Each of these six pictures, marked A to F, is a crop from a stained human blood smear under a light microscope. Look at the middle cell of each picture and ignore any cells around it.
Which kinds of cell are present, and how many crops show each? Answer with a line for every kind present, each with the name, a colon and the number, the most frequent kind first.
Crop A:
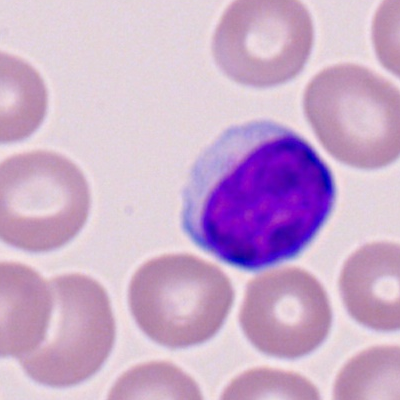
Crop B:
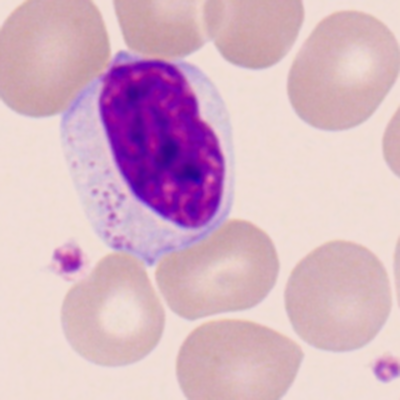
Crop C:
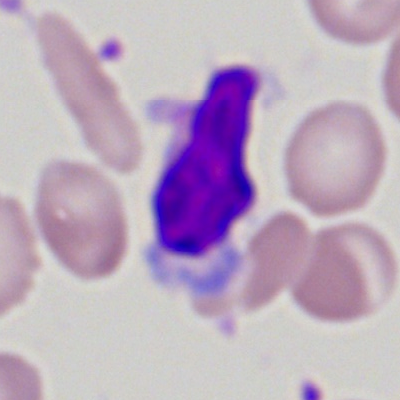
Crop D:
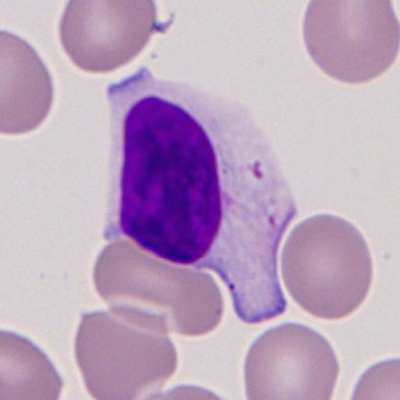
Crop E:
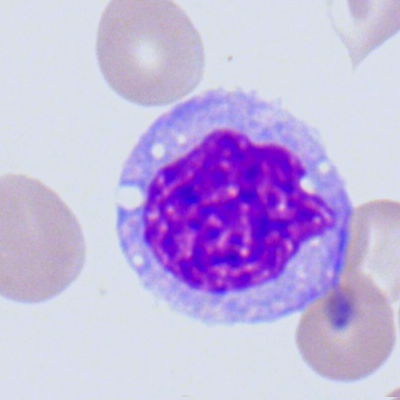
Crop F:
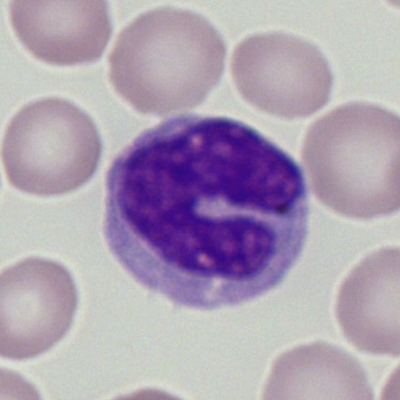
lymphocyte: 4
monocyte: 2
